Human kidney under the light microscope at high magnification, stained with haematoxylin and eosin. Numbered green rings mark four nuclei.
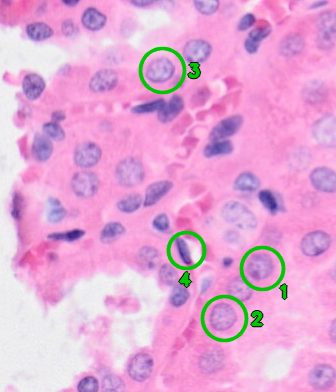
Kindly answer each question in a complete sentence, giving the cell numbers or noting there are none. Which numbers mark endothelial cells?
Cell 4 is an endothelial cell, whereas each of the other numbered cells is not.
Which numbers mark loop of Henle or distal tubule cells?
Among the cells marked with numbers, the only one that is a loop of Henle or distal tubule cell is number 3.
